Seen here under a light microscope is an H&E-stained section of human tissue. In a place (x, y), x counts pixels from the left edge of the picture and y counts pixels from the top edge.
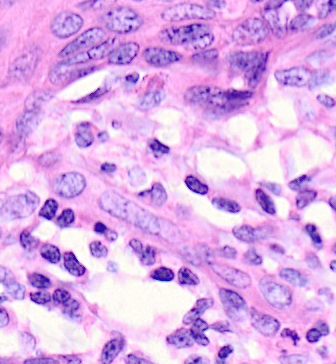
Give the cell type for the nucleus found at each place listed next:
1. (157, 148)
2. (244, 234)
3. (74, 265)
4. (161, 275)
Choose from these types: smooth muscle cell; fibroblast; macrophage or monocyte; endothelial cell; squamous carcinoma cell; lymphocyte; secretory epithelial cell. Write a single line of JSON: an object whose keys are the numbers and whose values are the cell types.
{"1": "lymphocyte", "2": "macrophage or monocyte", "3": "lymphocyte", "4": "lymphocyte"}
